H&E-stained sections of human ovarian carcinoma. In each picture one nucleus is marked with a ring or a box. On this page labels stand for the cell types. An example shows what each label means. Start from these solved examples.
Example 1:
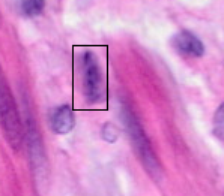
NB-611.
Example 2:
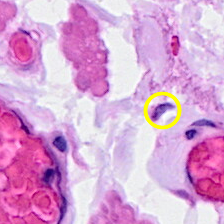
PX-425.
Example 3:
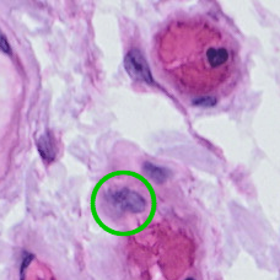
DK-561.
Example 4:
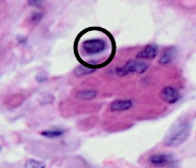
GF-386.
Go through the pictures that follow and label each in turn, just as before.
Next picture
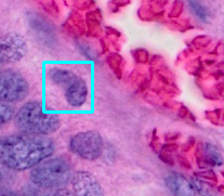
NB-611.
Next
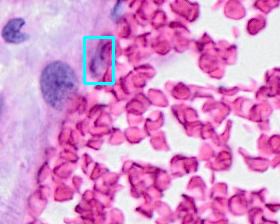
DK-561.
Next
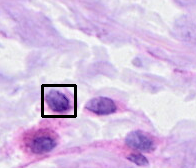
NB-611.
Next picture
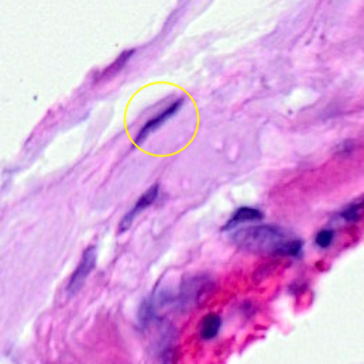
PX-425.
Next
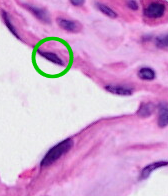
DK-561.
